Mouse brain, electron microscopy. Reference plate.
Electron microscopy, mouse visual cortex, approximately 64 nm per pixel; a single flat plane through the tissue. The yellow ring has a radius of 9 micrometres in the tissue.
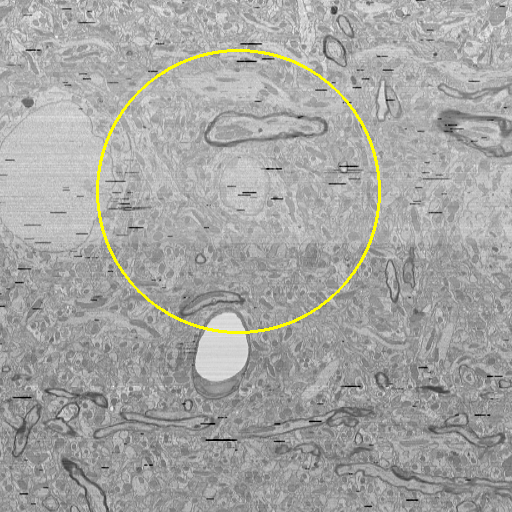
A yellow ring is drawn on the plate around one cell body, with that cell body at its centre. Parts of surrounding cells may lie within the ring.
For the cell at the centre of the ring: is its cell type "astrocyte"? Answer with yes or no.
Yes, that is its cell type.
